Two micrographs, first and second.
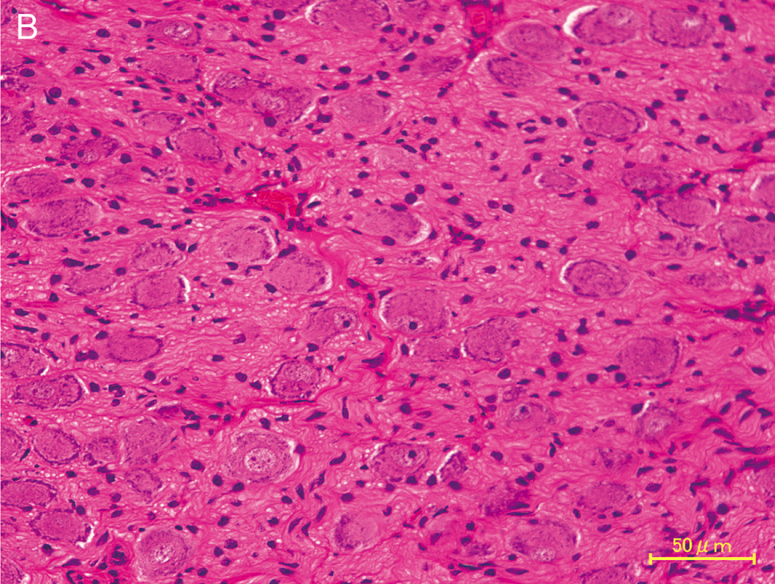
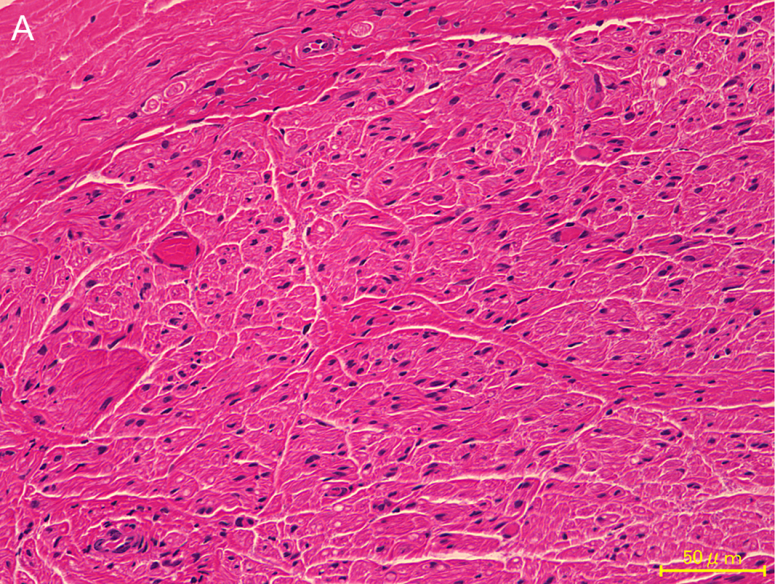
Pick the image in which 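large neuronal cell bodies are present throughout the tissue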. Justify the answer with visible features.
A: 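The first image. Second image: only pink fibrous tissue with small elongated nuclei, no large round cell bodies.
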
